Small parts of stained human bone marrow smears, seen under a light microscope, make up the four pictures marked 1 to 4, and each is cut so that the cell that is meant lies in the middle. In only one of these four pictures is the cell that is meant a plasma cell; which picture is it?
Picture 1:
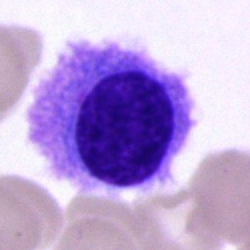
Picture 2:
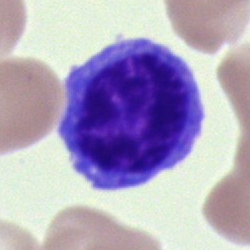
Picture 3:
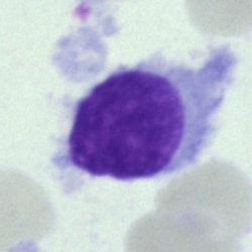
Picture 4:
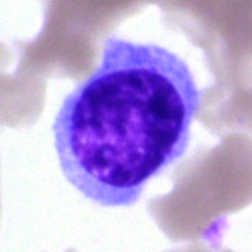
2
